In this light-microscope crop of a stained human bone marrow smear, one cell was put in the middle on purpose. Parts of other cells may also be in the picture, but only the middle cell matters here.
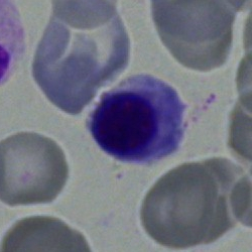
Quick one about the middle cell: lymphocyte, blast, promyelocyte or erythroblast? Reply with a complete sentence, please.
This crop's central cell is an erythroblast.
